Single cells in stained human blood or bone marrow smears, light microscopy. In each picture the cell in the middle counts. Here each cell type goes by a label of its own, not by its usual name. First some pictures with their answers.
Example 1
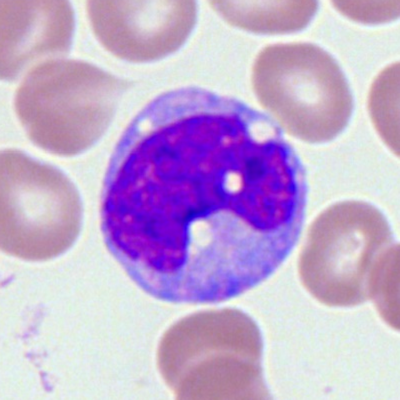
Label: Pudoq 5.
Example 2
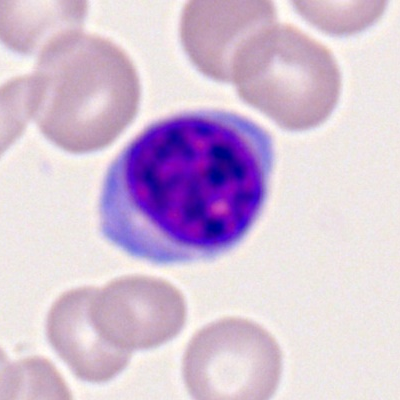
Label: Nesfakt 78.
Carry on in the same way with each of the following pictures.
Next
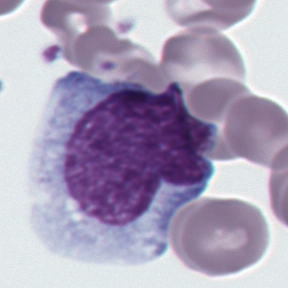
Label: Pudoq 5.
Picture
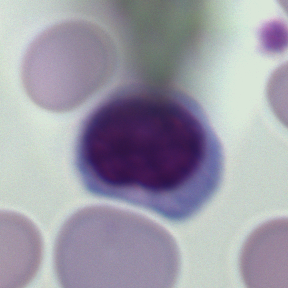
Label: Nesfakt 78.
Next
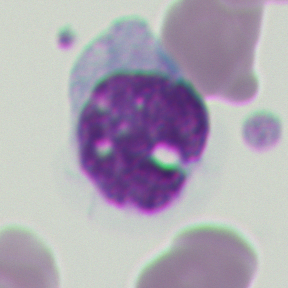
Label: Pudoq 5.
